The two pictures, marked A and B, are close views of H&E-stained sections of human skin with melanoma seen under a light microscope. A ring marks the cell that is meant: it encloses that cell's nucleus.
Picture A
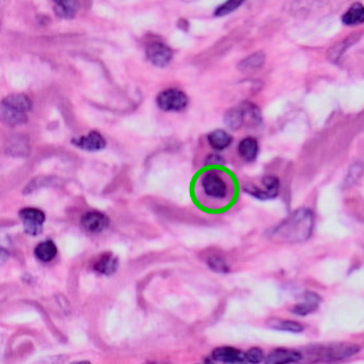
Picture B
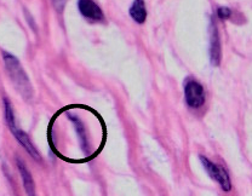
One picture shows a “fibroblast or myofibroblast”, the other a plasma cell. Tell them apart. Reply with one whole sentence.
The cell in picture A is a plasma cell, and the one in picture B is a “fibroblast or myofibroblast”.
